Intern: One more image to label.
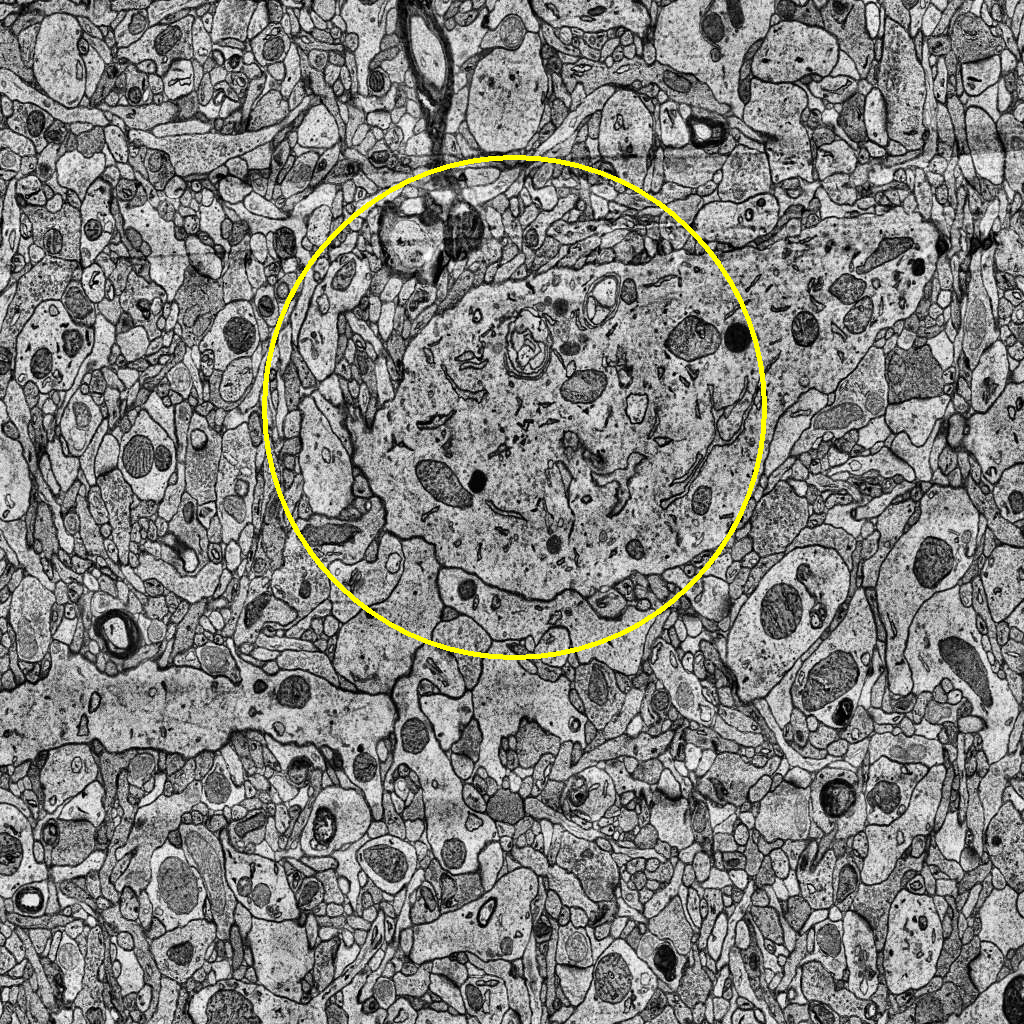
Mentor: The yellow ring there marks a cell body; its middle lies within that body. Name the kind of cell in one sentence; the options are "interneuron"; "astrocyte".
The ring marks the cell body of an interneuron.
